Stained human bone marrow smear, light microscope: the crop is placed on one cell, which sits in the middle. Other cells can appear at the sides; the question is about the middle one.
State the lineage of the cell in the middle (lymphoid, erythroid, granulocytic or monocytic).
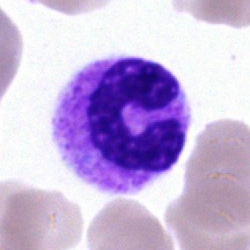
granulocytic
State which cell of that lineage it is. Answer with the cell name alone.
segmented neutrophil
